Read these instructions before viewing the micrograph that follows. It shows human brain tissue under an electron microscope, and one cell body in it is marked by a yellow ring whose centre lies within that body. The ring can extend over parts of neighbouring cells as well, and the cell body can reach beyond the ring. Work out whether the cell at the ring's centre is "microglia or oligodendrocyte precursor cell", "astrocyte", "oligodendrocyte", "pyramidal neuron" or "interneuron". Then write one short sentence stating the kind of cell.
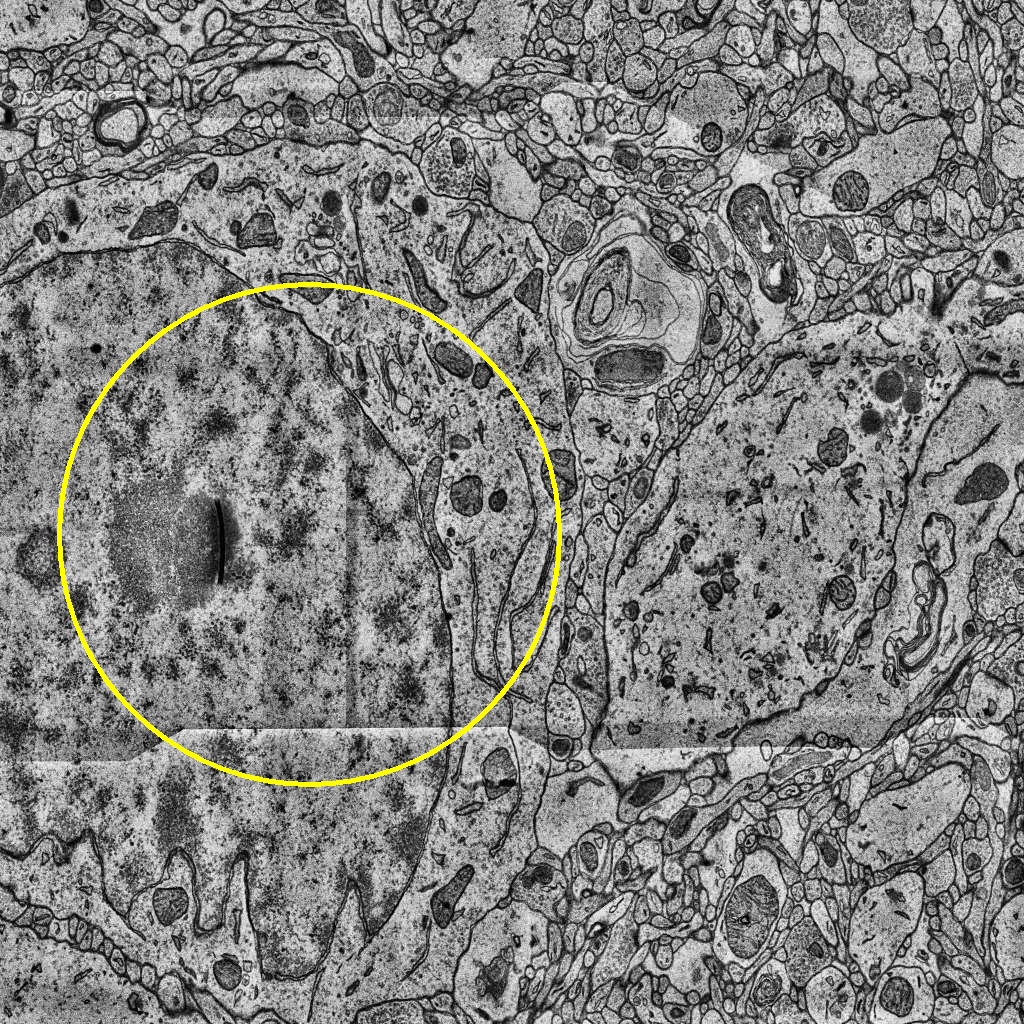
The cell at the ring's centre is an interneuron.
